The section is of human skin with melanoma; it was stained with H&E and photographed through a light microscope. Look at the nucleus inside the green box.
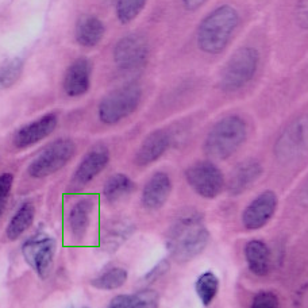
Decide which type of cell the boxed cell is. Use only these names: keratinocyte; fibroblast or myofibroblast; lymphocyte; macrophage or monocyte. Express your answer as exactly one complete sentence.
As for its identity, the boxed cell is a keratinocyte.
